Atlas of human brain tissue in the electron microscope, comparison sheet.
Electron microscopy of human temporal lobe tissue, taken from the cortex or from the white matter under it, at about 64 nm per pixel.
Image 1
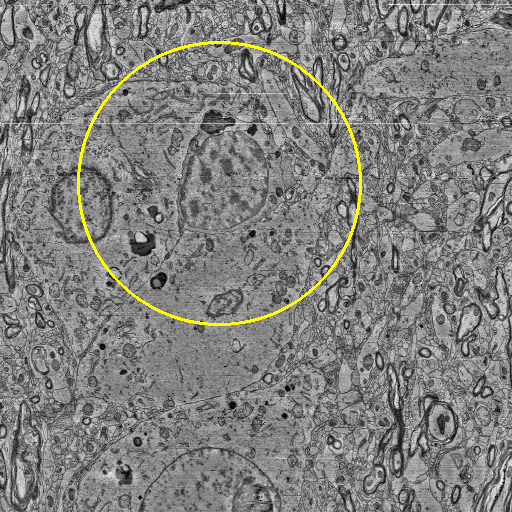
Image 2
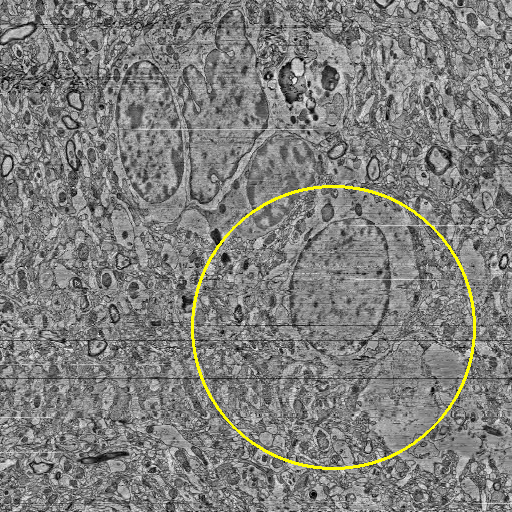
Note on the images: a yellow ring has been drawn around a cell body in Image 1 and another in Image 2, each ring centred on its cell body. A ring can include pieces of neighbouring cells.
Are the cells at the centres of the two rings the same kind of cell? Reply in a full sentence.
No, the two cells are of two kinds.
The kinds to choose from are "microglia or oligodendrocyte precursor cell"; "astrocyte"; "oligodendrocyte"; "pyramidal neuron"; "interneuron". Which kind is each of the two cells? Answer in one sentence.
Of the two, the first cell is an oligodendrocyte and the second cell is an astrocyte.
